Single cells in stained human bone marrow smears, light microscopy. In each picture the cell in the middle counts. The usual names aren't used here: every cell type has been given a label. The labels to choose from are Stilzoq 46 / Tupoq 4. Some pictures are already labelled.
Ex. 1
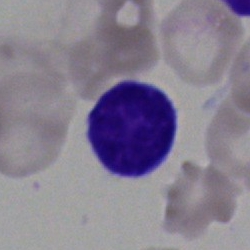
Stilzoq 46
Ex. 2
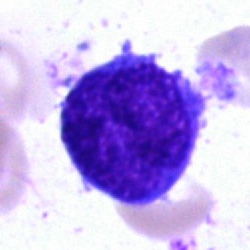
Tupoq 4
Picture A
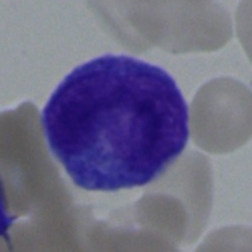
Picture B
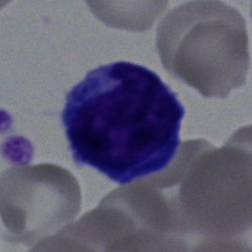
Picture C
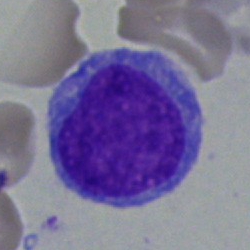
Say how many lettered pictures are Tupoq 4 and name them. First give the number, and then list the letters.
2, namely A, C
